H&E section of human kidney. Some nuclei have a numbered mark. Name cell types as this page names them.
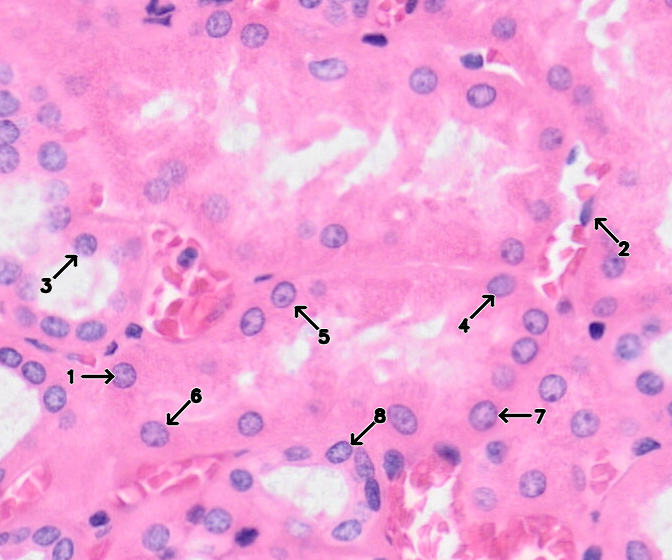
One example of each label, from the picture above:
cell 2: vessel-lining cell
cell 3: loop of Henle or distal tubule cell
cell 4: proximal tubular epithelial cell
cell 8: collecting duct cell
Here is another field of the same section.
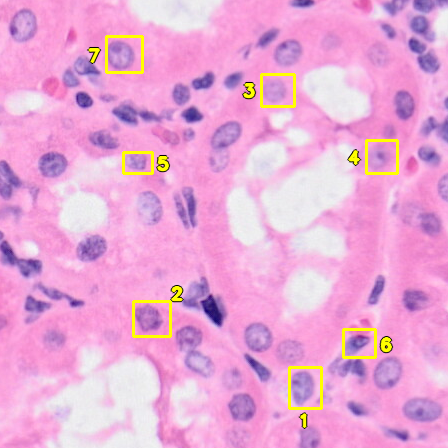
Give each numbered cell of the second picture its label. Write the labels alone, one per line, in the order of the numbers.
collecting duct cell
proximal tubular epithelial cell
proximal tubular epithelial cell
proximal tubular epithelial cell
loop of Henle or distal tubule cell
vessel-lining cell
proximal tubular epithelial cell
